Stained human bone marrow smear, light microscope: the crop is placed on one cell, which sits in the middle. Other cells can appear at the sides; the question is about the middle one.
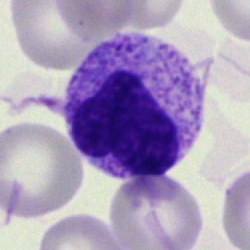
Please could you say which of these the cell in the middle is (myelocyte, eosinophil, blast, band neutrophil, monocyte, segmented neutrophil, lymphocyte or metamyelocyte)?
metamyelocyte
